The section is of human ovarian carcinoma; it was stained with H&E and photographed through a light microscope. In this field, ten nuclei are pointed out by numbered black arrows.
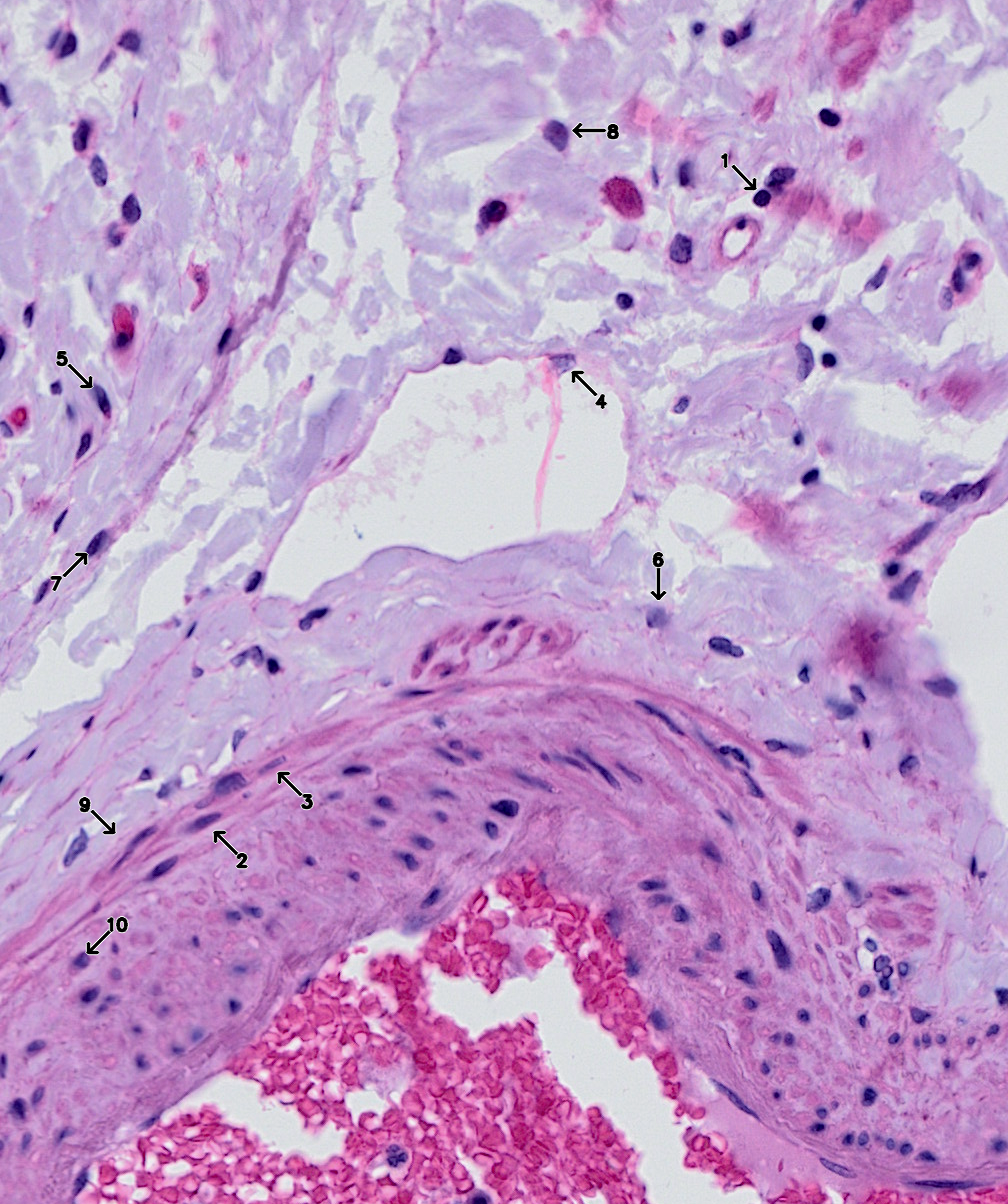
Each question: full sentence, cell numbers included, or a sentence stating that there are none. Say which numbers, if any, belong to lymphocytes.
Being a lymphocyte is true of cell 1 and of no other numbered cell.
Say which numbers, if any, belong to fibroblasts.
So, the cells with numbers 5, 6, 7 and 8 are fibroblasts.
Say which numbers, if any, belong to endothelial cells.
Cell number 4 alone is an endothelial cell; the rest are not.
